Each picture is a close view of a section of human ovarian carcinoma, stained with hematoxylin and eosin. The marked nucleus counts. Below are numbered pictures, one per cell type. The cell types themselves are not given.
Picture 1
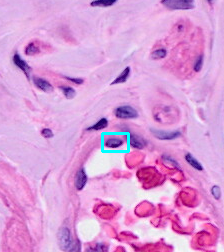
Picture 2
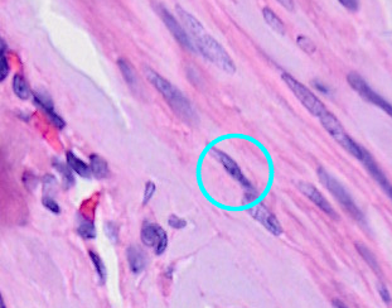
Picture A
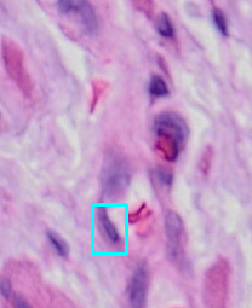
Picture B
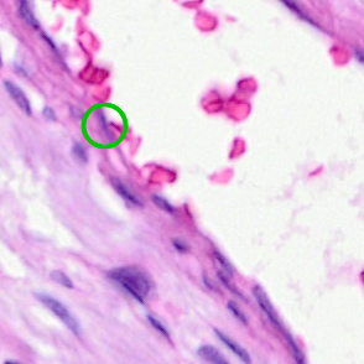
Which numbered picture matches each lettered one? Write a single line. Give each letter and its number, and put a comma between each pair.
A 1, B 1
